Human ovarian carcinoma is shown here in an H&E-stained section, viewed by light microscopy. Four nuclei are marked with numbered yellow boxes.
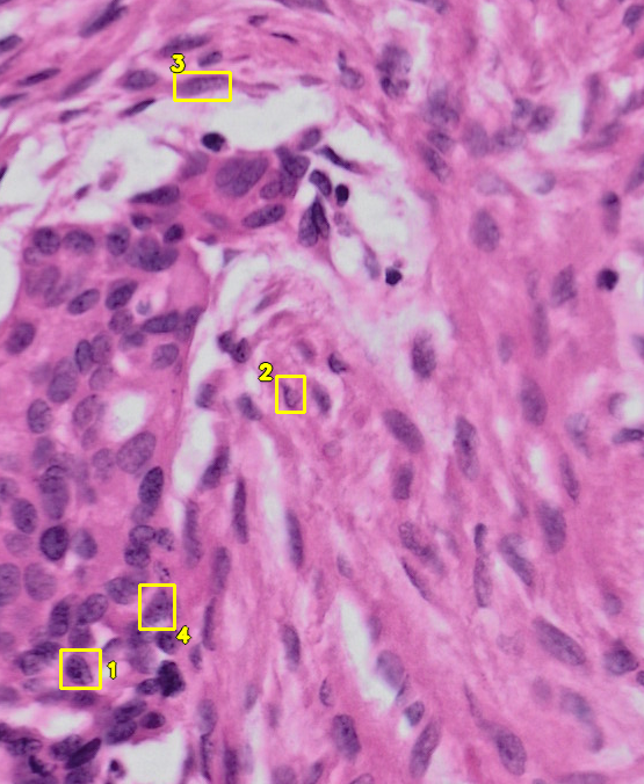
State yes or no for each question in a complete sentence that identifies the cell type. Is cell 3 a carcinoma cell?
No, that is wrong: cell 3 is a fibroblast, and not a carcinoma cell.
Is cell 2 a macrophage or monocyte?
No, cell 2 should be read as a fibroblast instead of a macrophage or monocyte.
